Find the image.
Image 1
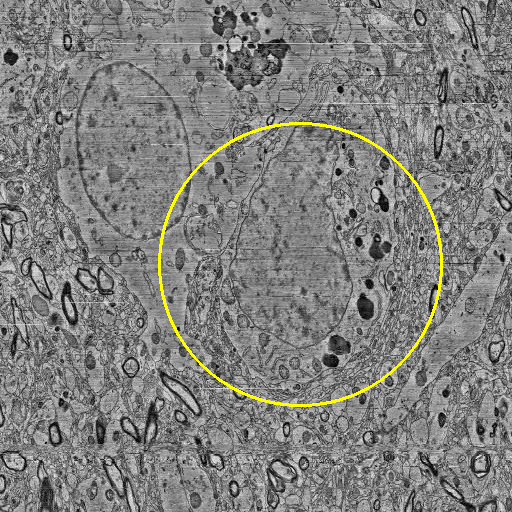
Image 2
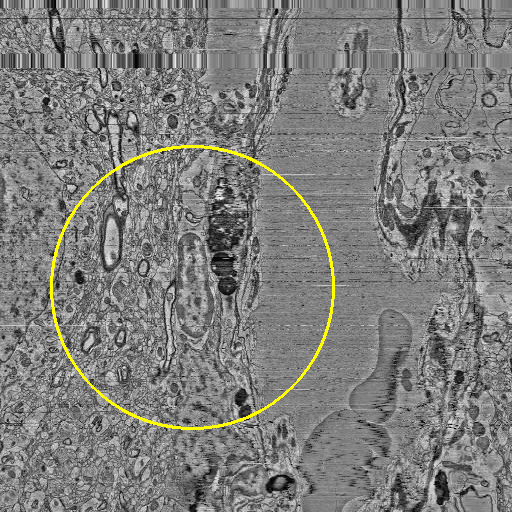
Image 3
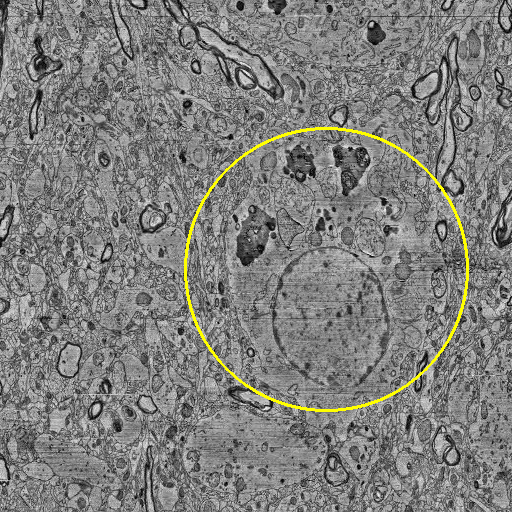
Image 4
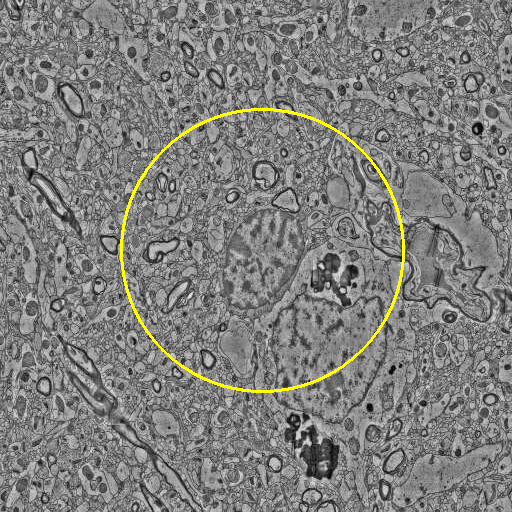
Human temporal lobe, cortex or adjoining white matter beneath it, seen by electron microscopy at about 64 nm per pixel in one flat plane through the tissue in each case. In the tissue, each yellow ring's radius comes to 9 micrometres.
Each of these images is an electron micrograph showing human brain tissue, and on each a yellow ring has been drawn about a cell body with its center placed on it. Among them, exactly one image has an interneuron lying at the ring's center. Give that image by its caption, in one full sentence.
The ring in Image 1 is centered on the cell the question describes.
